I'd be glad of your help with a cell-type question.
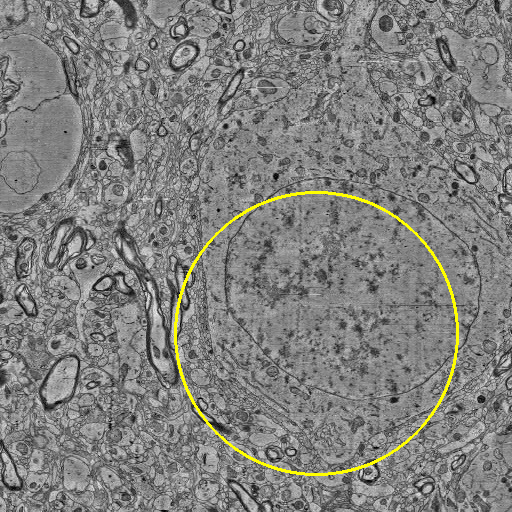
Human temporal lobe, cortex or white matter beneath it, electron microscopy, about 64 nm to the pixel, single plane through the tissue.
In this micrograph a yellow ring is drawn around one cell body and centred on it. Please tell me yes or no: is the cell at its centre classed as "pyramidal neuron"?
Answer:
yes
